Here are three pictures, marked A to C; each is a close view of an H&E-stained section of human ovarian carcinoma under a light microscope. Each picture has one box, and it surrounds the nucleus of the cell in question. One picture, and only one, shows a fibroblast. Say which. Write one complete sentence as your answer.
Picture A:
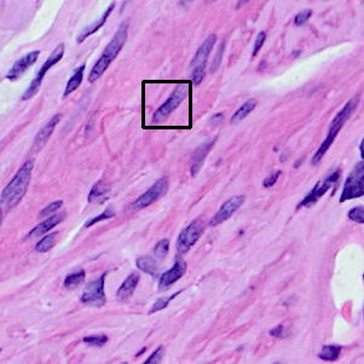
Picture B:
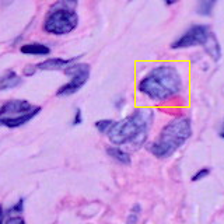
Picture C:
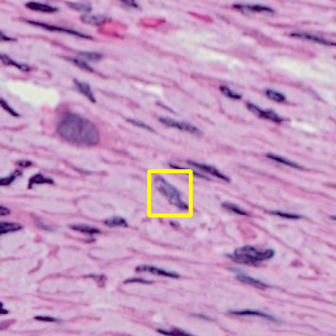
The cell in picture C is the fibroblast.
